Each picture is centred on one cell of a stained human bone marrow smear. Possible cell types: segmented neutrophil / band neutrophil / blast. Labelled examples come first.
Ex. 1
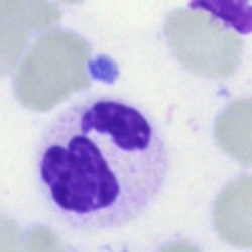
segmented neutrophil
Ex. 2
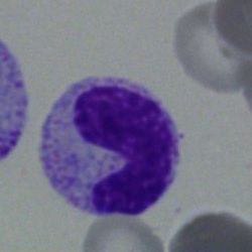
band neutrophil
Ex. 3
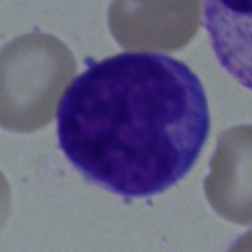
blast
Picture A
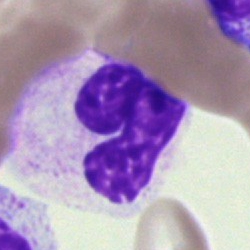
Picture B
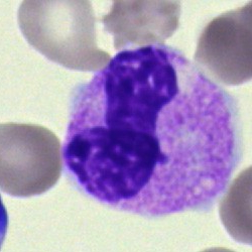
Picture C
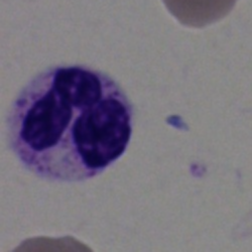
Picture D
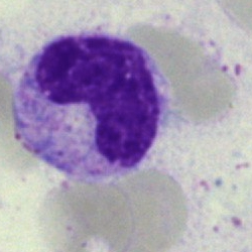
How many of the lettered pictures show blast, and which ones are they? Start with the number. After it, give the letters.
0, none of them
